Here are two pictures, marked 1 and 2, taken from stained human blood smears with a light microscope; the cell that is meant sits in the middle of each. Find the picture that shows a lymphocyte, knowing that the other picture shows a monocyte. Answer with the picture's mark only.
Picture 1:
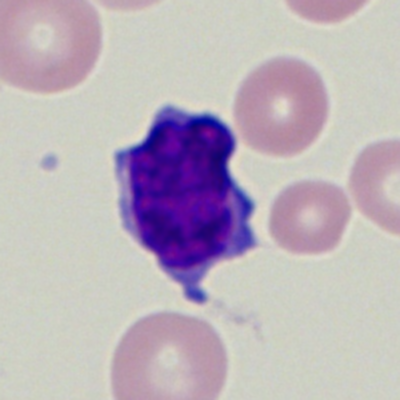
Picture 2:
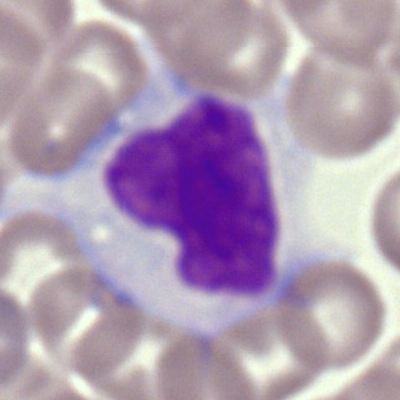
1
